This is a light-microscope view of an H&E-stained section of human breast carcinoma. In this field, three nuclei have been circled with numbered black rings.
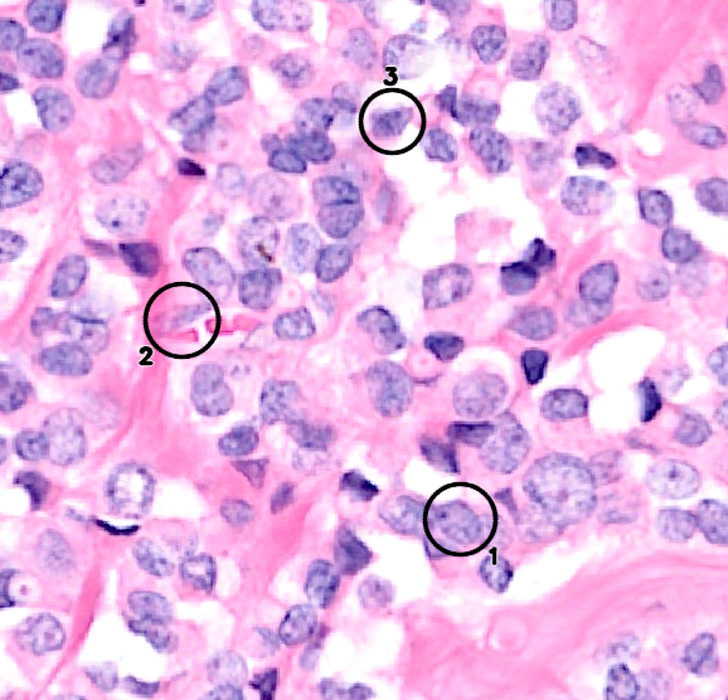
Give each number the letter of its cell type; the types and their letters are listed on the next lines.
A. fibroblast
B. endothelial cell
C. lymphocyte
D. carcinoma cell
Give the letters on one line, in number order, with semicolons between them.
D; B; D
